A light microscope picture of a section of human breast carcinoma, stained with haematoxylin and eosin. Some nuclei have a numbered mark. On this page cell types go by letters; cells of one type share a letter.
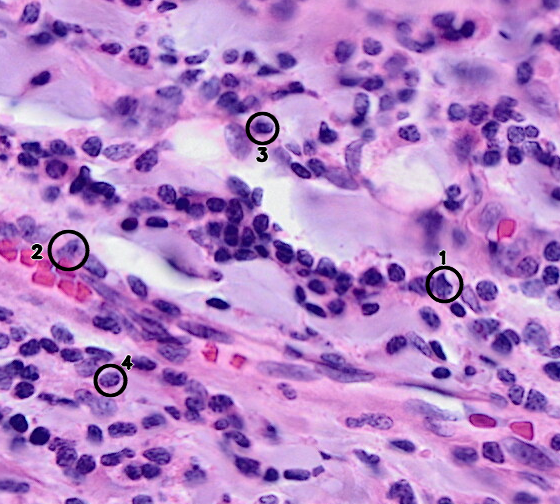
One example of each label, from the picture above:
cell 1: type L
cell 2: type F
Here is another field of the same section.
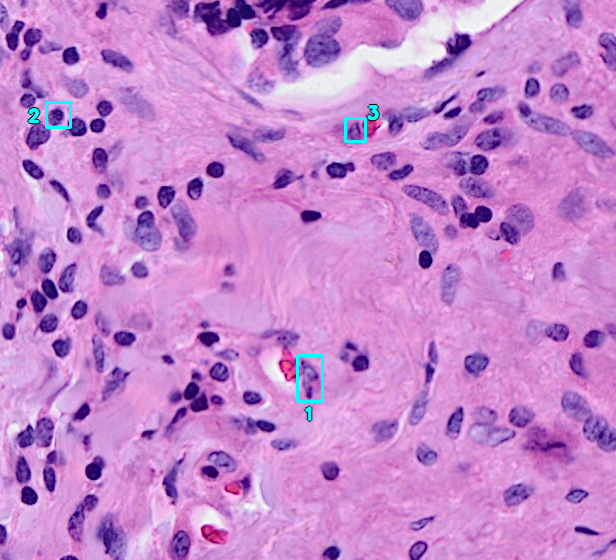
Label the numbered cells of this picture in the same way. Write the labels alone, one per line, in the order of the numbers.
type F
type L
type F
